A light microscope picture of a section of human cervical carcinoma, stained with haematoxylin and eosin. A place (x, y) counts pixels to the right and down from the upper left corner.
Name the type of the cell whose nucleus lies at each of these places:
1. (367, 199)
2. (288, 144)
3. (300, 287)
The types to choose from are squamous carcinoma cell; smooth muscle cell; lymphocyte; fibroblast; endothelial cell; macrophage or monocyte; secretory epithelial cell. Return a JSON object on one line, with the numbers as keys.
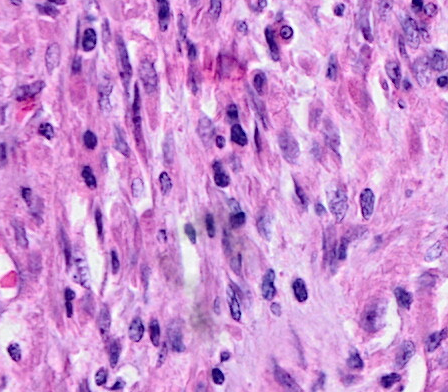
{"1": "lymphocyte", "2": "fibroblast", "3": "lymphocyte"}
